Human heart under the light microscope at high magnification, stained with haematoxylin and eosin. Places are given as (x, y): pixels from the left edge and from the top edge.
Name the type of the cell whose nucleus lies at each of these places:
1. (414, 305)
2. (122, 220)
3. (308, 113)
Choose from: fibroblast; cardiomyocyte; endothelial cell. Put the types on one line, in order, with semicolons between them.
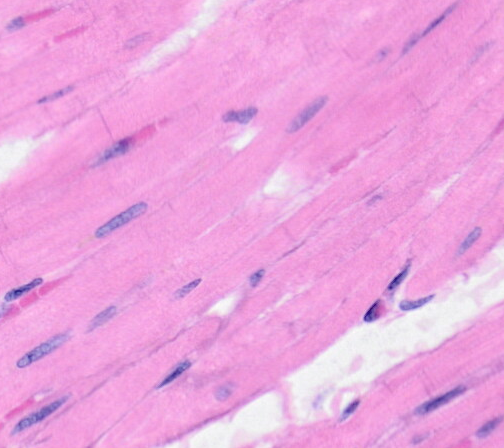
fibroblast; cardiomyocyte; cardiomyocyte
